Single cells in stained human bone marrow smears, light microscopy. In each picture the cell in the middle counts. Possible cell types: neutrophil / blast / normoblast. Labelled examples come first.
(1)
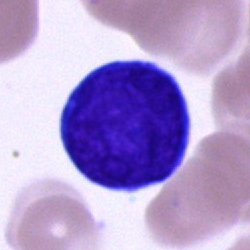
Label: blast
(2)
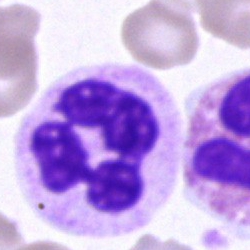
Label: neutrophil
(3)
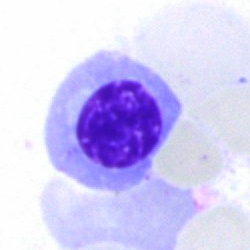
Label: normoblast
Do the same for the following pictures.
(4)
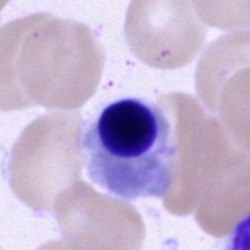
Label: normoblast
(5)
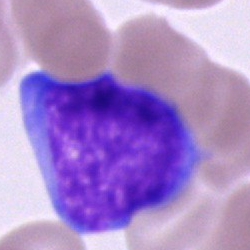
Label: blast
